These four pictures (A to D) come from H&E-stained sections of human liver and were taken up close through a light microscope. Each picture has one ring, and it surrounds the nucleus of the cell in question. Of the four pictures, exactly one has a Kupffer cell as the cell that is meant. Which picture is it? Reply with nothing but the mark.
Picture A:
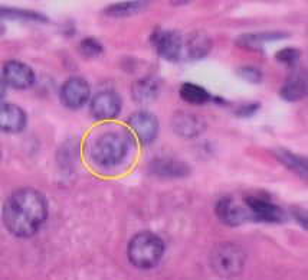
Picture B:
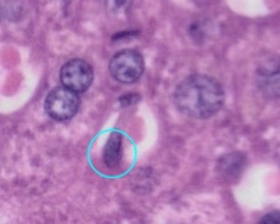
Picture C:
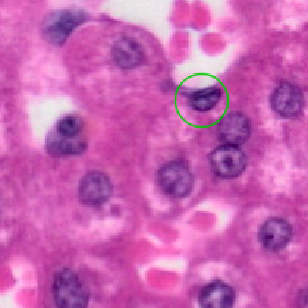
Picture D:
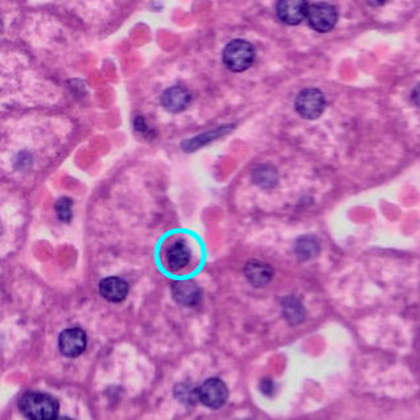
B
